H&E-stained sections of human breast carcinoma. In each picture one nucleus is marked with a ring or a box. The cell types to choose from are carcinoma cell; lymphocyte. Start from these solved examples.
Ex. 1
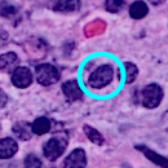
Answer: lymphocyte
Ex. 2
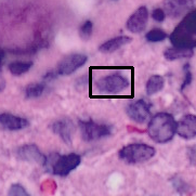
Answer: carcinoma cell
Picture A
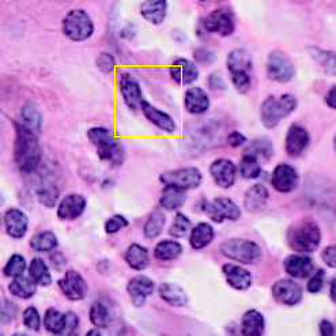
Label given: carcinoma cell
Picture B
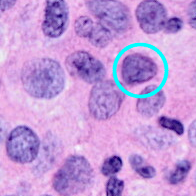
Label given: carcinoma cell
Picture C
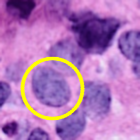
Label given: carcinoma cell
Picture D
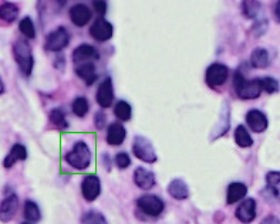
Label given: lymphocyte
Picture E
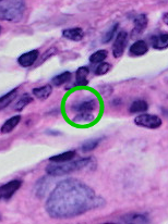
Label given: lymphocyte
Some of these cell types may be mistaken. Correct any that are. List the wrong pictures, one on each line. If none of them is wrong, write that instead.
A: lymphocyte, not carcinoma cell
